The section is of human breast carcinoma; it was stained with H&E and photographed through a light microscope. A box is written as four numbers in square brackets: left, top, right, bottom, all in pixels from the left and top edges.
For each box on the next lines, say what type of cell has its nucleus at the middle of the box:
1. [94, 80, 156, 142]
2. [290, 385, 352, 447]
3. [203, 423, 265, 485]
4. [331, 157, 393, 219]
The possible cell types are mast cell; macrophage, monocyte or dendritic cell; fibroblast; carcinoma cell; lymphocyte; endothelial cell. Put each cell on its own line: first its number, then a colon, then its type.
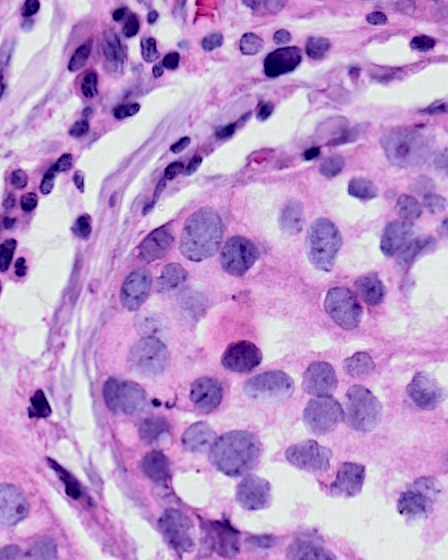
1: lymphocyte
2: carcinoma cell
3: carcinoma cell
4: carcinoma cell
